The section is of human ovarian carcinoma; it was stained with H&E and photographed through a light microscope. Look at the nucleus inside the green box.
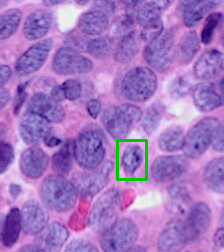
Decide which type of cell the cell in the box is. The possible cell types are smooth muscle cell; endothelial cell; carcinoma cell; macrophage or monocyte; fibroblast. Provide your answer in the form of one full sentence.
In the tissue at hand, the cell in the box is a macrophage or monocyte.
